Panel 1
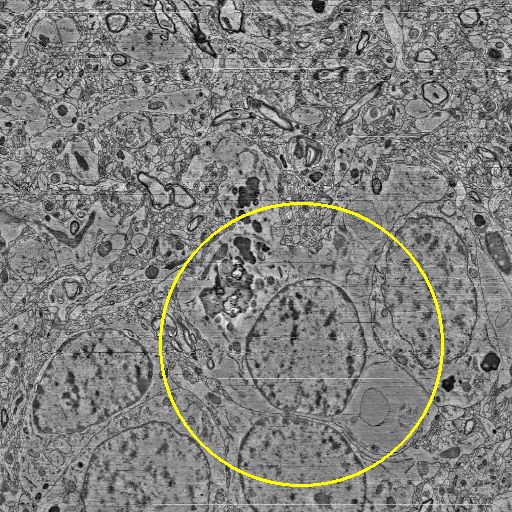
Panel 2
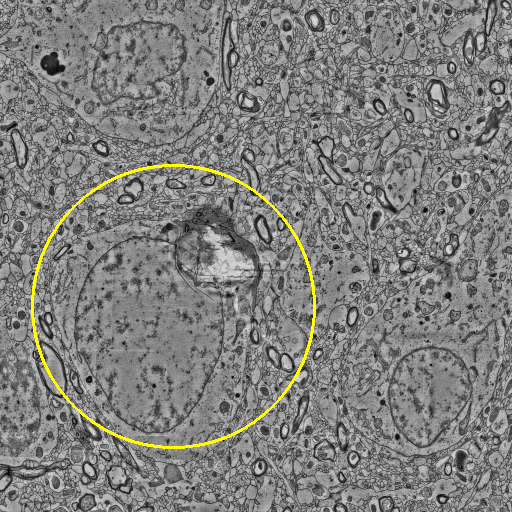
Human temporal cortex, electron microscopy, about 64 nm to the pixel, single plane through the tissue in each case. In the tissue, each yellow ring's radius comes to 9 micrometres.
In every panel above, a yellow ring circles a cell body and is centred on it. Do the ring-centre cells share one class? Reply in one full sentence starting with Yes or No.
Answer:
No, the two cells at the ring centres in the panels belong to two classes.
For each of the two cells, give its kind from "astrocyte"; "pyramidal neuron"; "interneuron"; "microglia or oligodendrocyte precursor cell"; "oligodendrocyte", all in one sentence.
The first picture has an astrocyte in its ring, the second has a pyramidal neuron.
